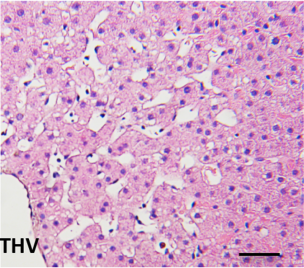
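Polygonal cells with pink, finely granular cytoplasm and round, dark purple central nuclei are arranged in cords. Narrow, irregular clear spaces run between the cords, and small elongated nuclei line some of these spaces.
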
